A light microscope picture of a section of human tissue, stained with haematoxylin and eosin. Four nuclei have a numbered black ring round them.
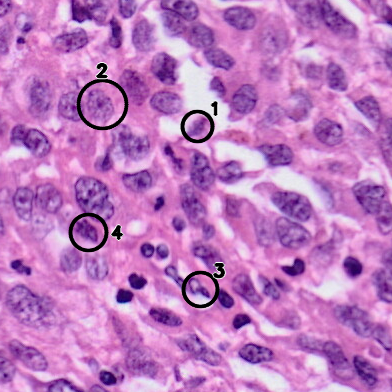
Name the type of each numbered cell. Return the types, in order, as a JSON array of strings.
["melanoma cell", "melanoma cell", "endothelial cell", "melanoma cell"]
